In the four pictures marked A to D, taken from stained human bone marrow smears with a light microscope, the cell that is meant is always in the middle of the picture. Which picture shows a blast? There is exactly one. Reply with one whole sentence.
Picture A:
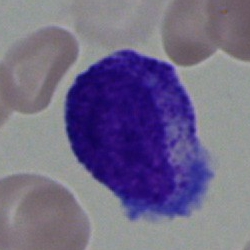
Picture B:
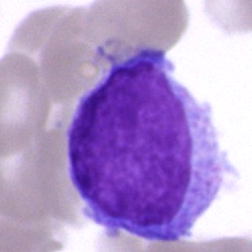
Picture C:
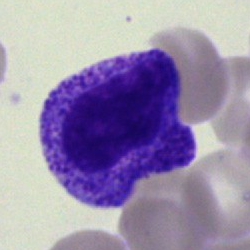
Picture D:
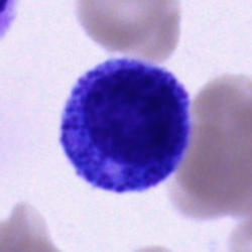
Picture B shows the blast.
